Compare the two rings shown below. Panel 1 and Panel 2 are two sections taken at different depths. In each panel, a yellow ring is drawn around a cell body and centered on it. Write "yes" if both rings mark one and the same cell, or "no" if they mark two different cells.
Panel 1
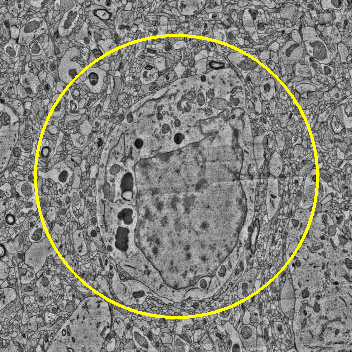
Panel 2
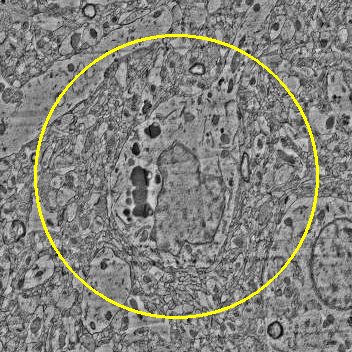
yes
